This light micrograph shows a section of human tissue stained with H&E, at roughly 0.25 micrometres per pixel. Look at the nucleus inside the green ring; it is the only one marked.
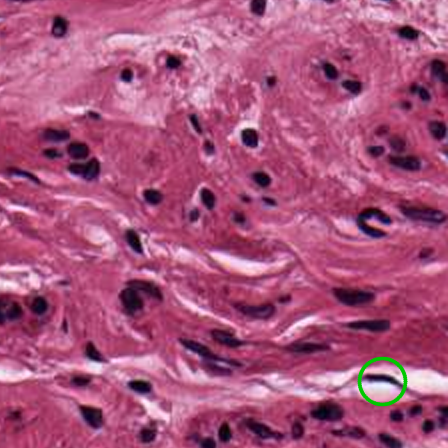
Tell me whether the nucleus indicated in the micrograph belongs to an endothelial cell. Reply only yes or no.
yes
